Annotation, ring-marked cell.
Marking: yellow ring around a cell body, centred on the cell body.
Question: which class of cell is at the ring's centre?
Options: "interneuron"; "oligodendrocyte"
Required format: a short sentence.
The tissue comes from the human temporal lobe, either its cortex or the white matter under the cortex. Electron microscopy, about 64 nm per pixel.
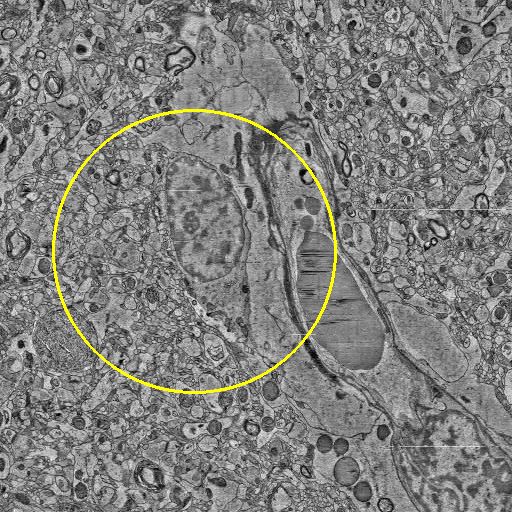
At the ring's centre is an oligodendrocyte.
